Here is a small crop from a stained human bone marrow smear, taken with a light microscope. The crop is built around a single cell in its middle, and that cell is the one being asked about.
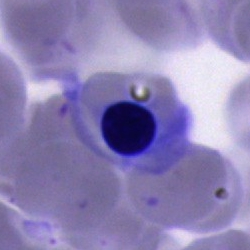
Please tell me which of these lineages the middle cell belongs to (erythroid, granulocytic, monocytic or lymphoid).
erythroid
